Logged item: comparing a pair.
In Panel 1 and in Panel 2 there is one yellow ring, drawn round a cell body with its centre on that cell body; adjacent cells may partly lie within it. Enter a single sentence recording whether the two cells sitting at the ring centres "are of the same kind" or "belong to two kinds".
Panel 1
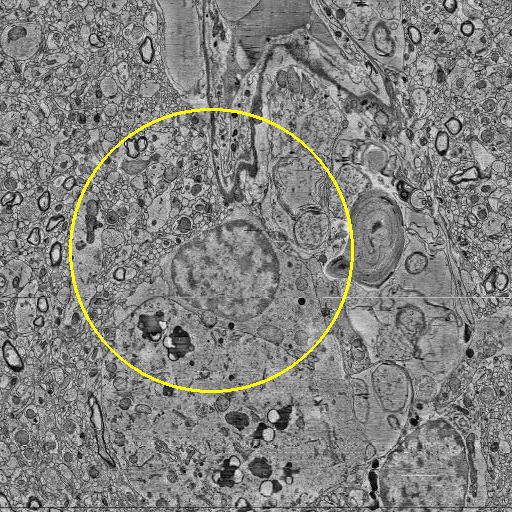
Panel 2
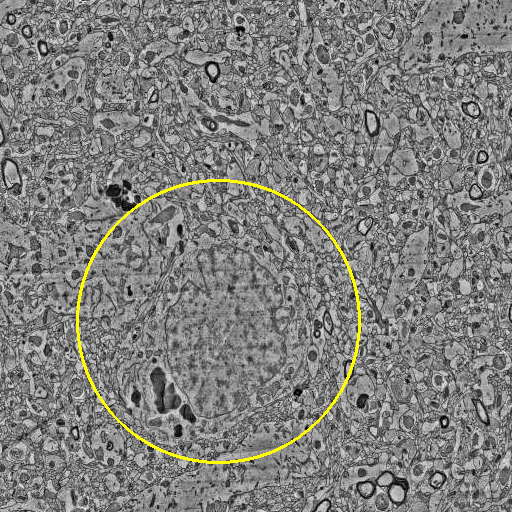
Logged: the cells centred in the rings of Panel 1 and Panel 2 belong to two kinds.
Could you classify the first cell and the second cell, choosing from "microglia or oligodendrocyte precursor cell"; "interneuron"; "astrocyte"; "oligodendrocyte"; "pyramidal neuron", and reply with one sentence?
The second cell is an interneuron, while the first is an oligodendrocyte.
